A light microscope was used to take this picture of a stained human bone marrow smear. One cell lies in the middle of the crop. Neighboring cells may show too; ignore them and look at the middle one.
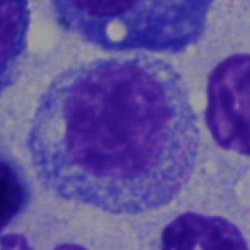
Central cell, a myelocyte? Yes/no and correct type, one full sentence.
No, instead of being a myelocyte, the middle cell is a promyelocyte.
